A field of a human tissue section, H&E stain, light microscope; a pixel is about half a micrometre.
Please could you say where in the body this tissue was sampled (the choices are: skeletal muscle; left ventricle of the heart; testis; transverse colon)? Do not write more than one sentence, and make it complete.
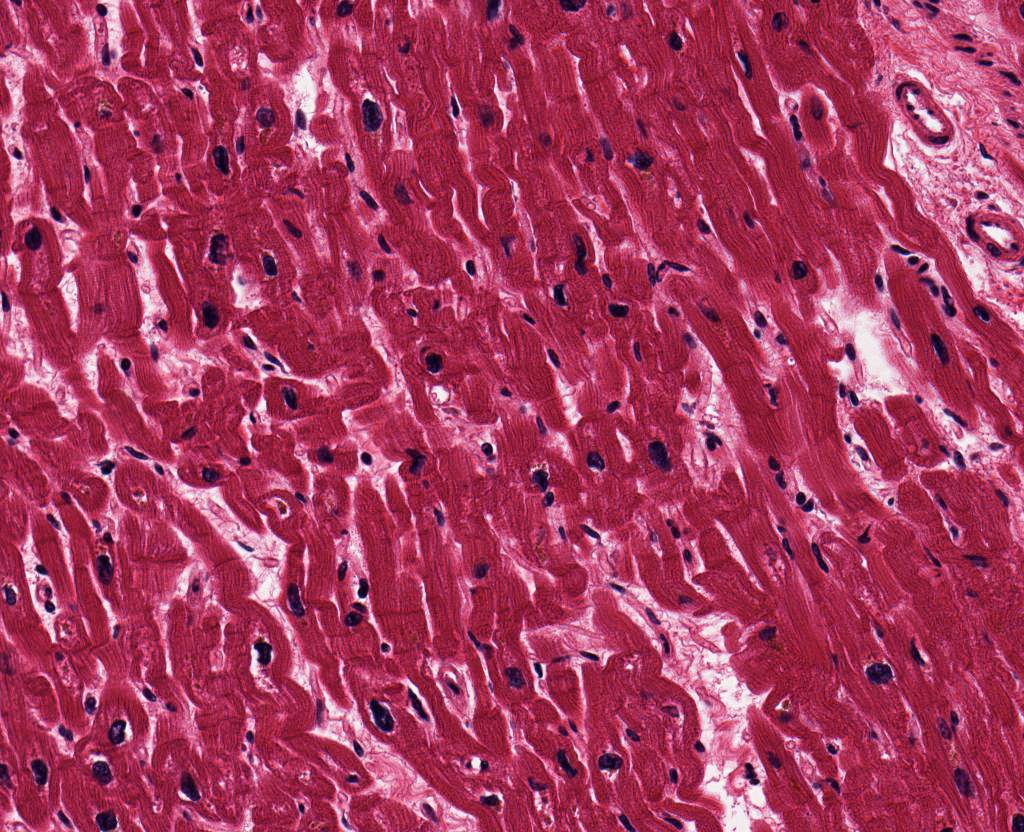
This tissue specimen derives from the left ventricle of the heart.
